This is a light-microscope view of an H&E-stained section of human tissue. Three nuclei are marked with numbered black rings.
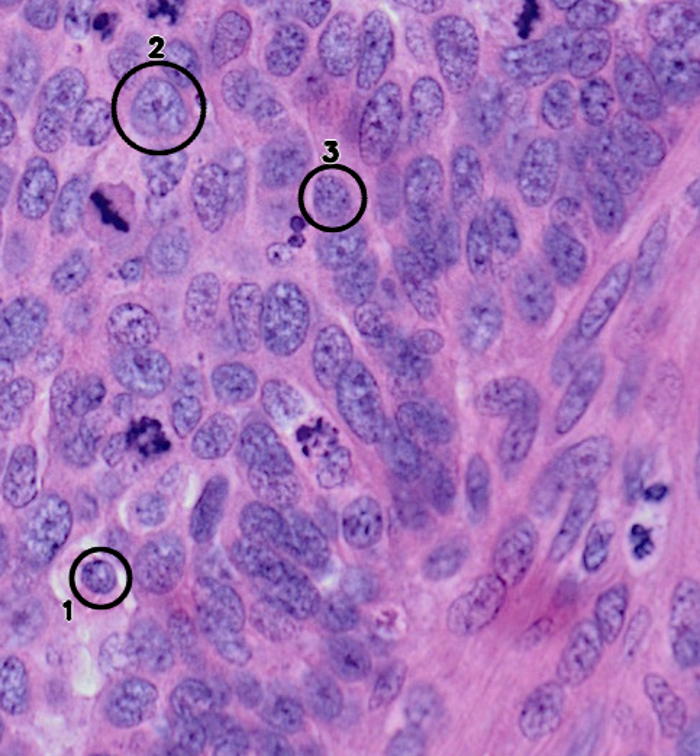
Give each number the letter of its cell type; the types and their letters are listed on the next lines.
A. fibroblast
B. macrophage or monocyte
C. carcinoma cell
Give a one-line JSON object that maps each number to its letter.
{"1": "B", "2": "C", "3": "C"}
